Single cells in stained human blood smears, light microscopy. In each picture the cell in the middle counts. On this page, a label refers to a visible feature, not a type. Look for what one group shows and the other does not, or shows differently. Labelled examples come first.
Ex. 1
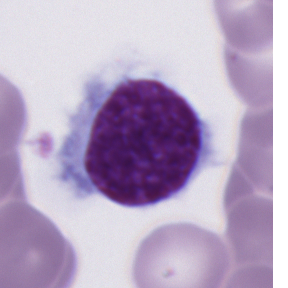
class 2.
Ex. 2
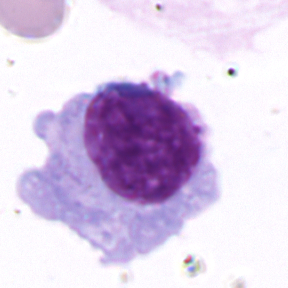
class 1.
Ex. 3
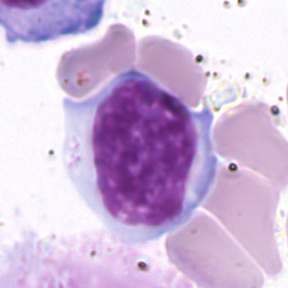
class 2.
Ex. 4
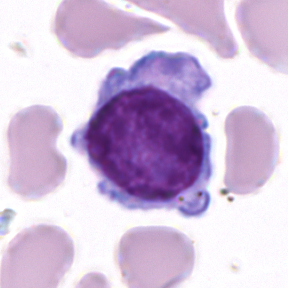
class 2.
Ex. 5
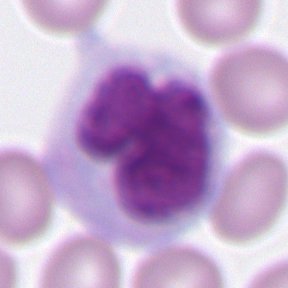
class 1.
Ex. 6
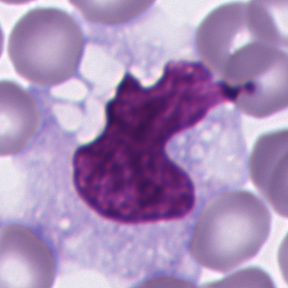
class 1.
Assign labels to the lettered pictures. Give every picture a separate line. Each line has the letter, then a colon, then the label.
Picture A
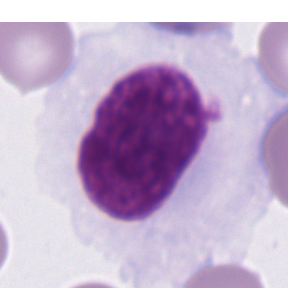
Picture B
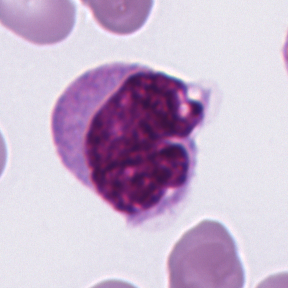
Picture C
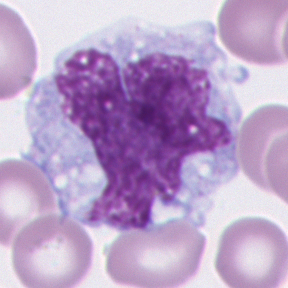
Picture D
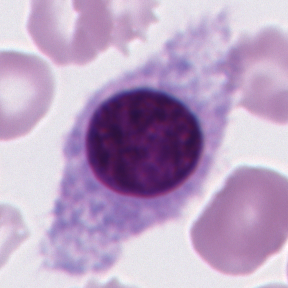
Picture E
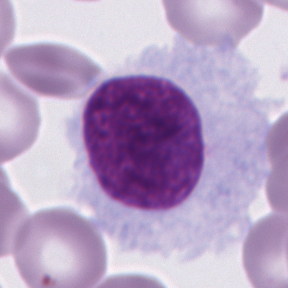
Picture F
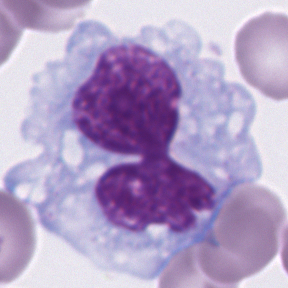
A: class 1.
B: class 1.
C: class 1.
D: class 1.
E: class 1.
F: class 1.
